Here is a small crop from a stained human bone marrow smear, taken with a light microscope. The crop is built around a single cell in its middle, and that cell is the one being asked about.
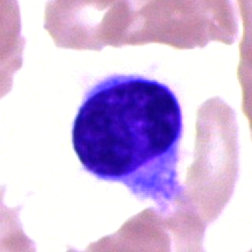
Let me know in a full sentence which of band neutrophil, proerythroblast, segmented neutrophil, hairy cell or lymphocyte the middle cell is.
What sits at the centre of this crop is a hairy cell.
